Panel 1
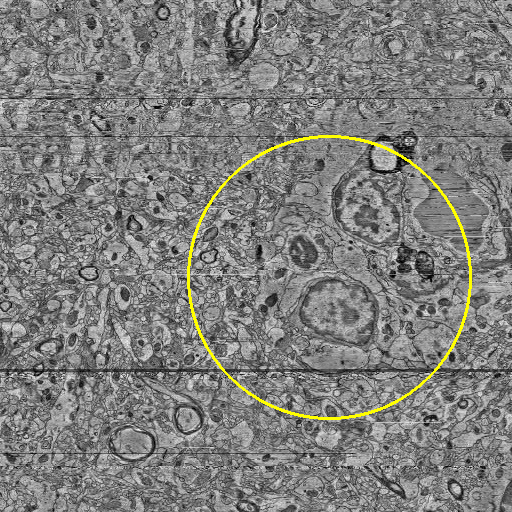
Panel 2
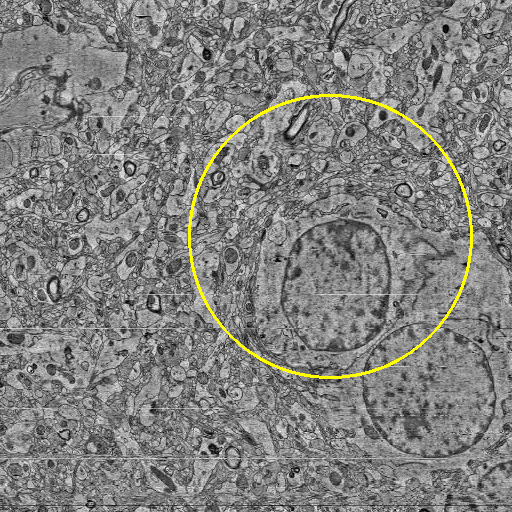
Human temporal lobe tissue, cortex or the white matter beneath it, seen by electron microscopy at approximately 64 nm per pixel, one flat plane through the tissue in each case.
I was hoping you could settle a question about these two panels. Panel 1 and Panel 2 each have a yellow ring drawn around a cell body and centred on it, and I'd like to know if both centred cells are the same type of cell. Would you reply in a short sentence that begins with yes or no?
No, they are two types of cell.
